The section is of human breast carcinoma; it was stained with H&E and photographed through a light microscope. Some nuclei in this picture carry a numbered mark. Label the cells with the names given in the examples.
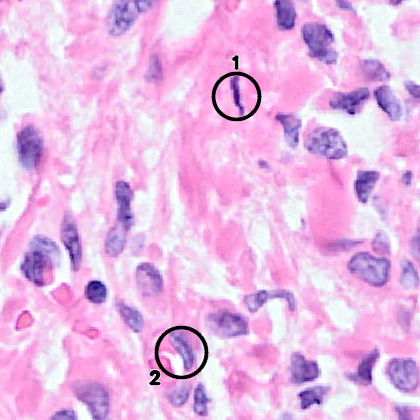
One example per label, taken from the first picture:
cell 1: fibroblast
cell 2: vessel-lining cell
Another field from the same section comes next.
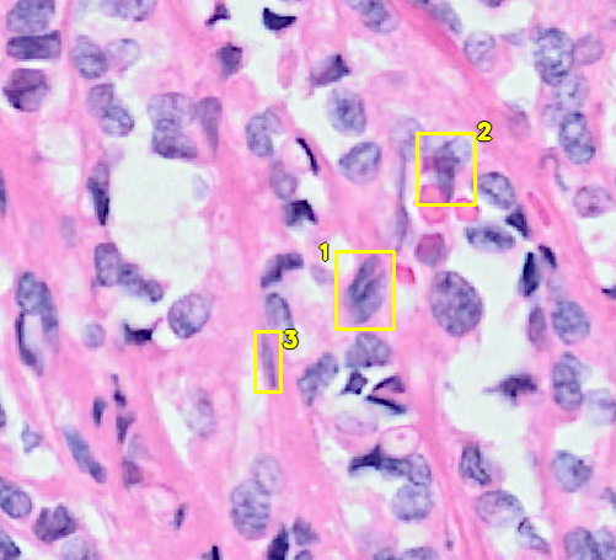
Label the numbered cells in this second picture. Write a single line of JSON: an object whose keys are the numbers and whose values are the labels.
{"1": "vessel-lining cell", "2": "vessel-lining cell", "3": "fibroblast"}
